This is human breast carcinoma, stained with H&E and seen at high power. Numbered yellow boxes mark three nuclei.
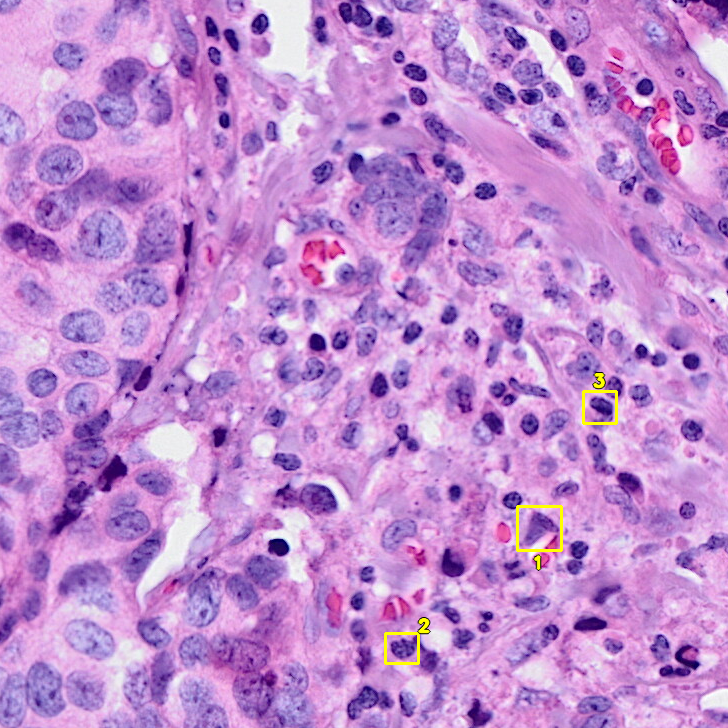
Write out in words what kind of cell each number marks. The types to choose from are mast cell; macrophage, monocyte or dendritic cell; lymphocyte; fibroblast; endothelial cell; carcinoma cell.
Cell 1 is an endothelial cell. Cells 2 and 3 are lymphocytes.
